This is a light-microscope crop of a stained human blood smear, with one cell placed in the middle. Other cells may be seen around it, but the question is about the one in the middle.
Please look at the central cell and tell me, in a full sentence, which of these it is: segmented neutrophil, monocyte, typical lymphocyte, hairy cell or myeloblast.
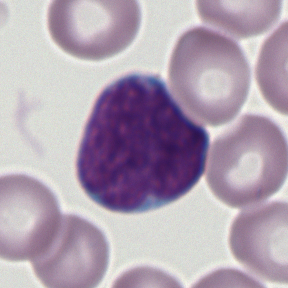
The cell occupying the middle of the crop is a myeloblast.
